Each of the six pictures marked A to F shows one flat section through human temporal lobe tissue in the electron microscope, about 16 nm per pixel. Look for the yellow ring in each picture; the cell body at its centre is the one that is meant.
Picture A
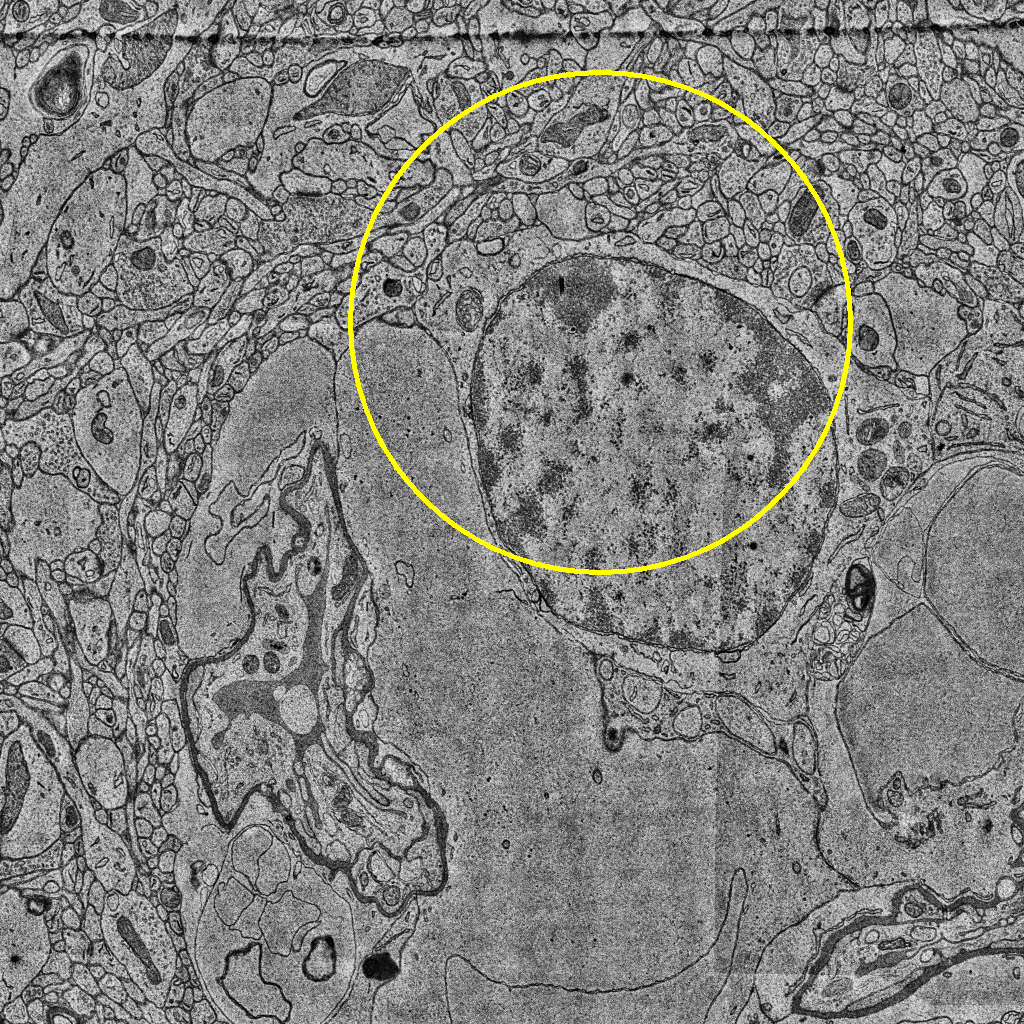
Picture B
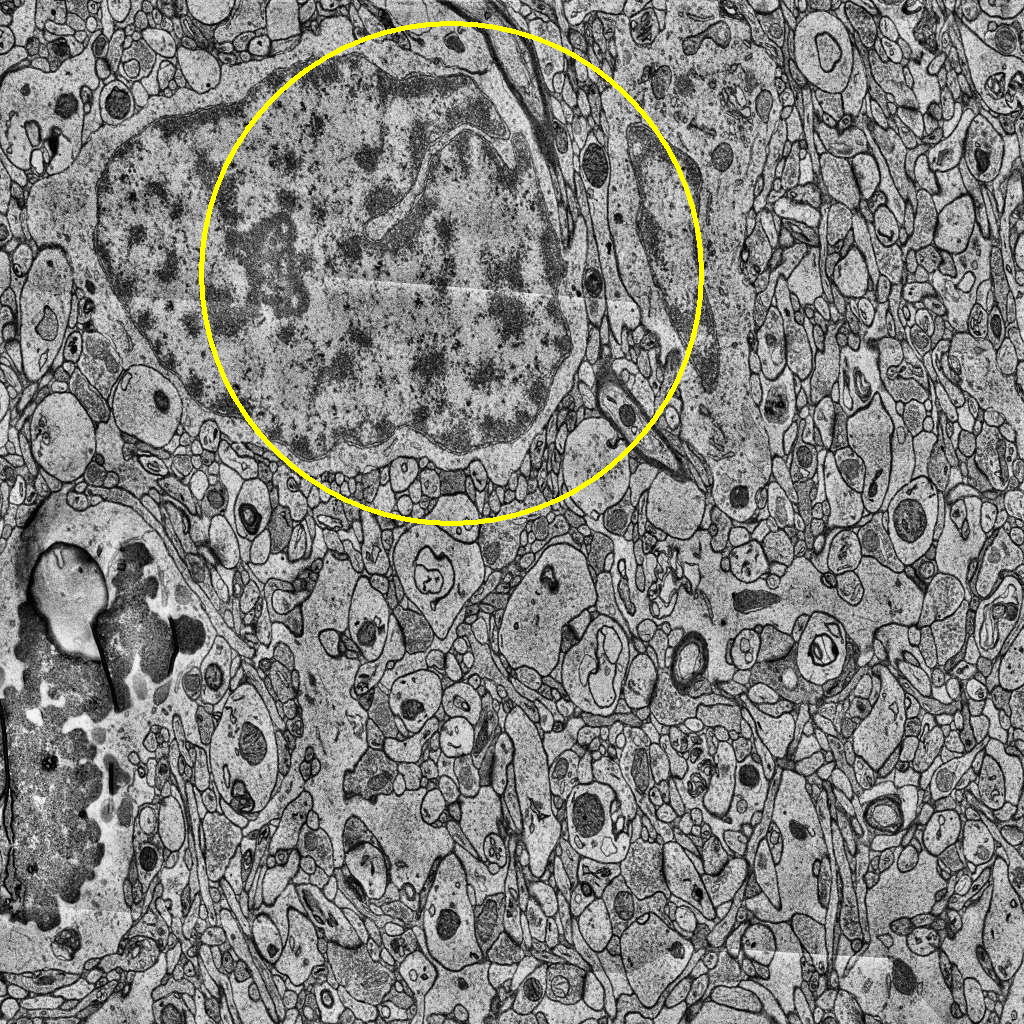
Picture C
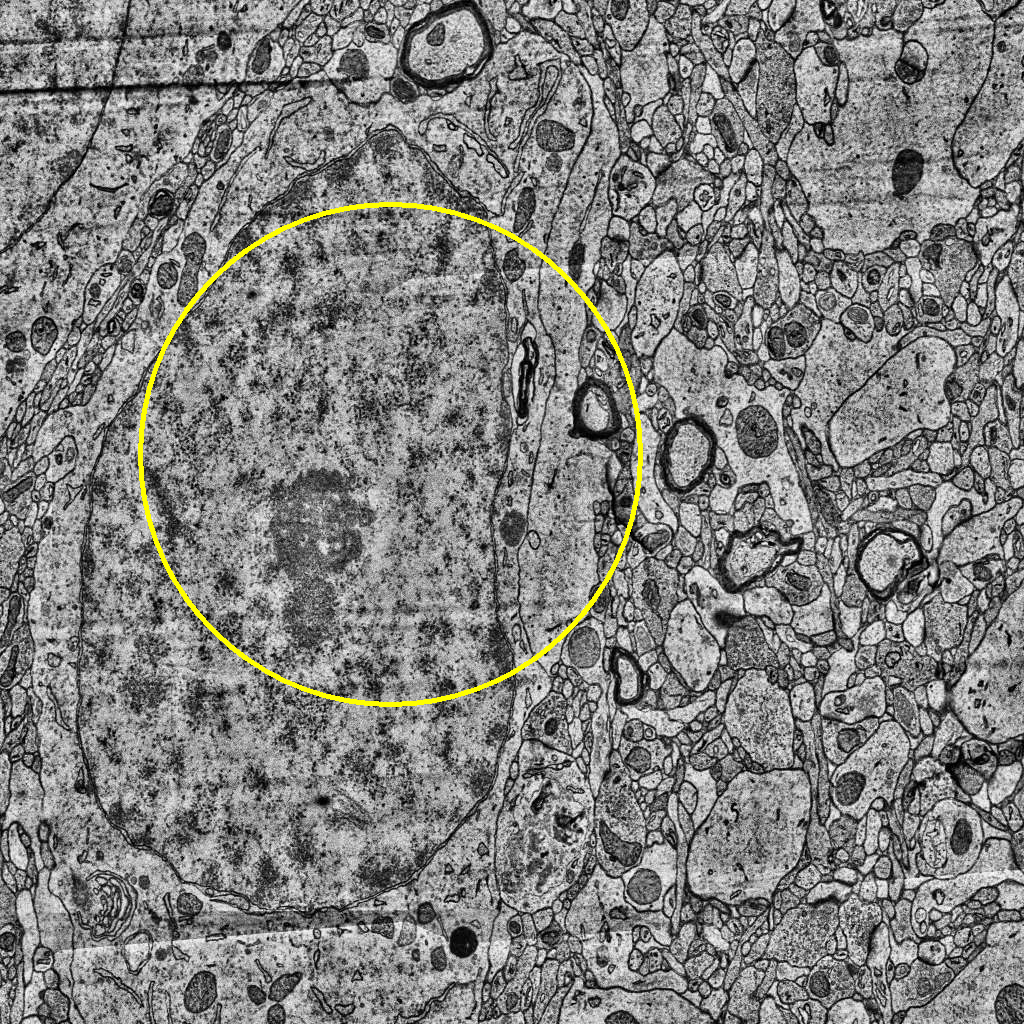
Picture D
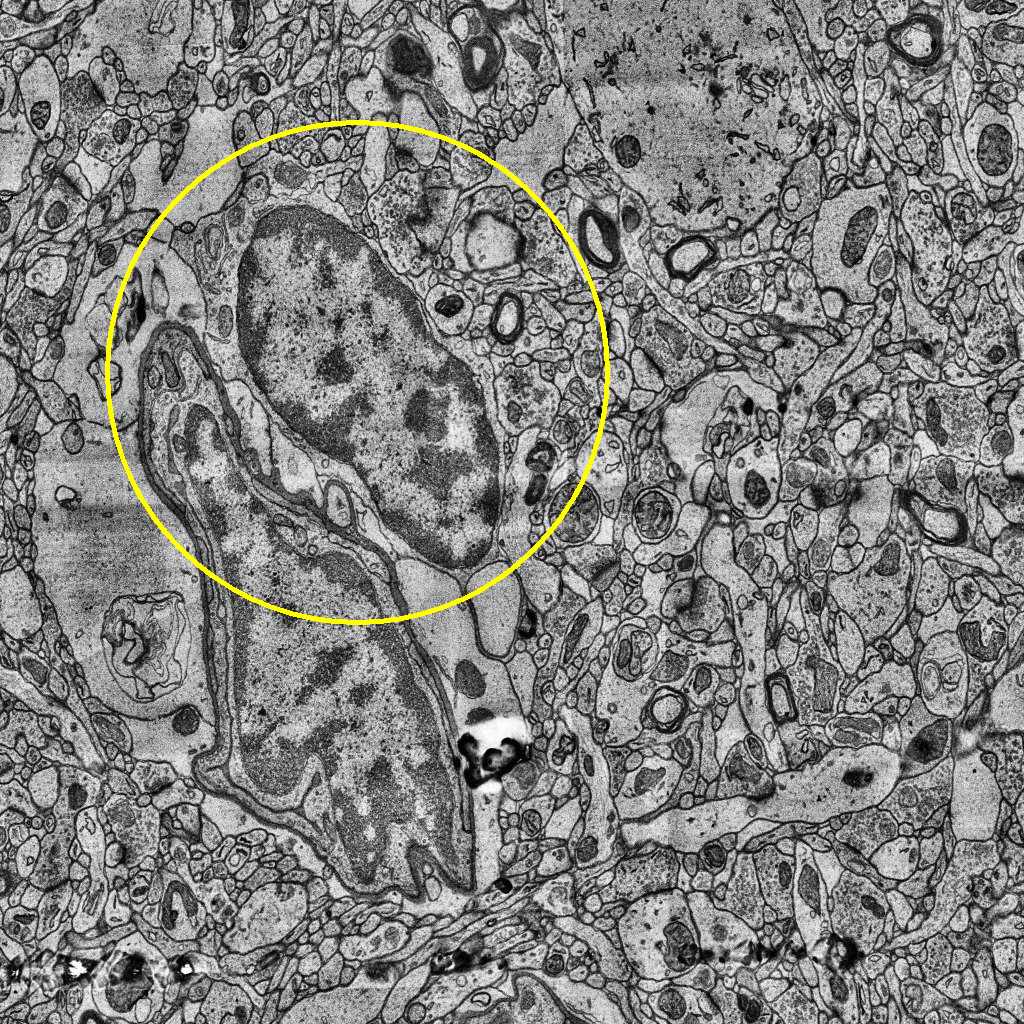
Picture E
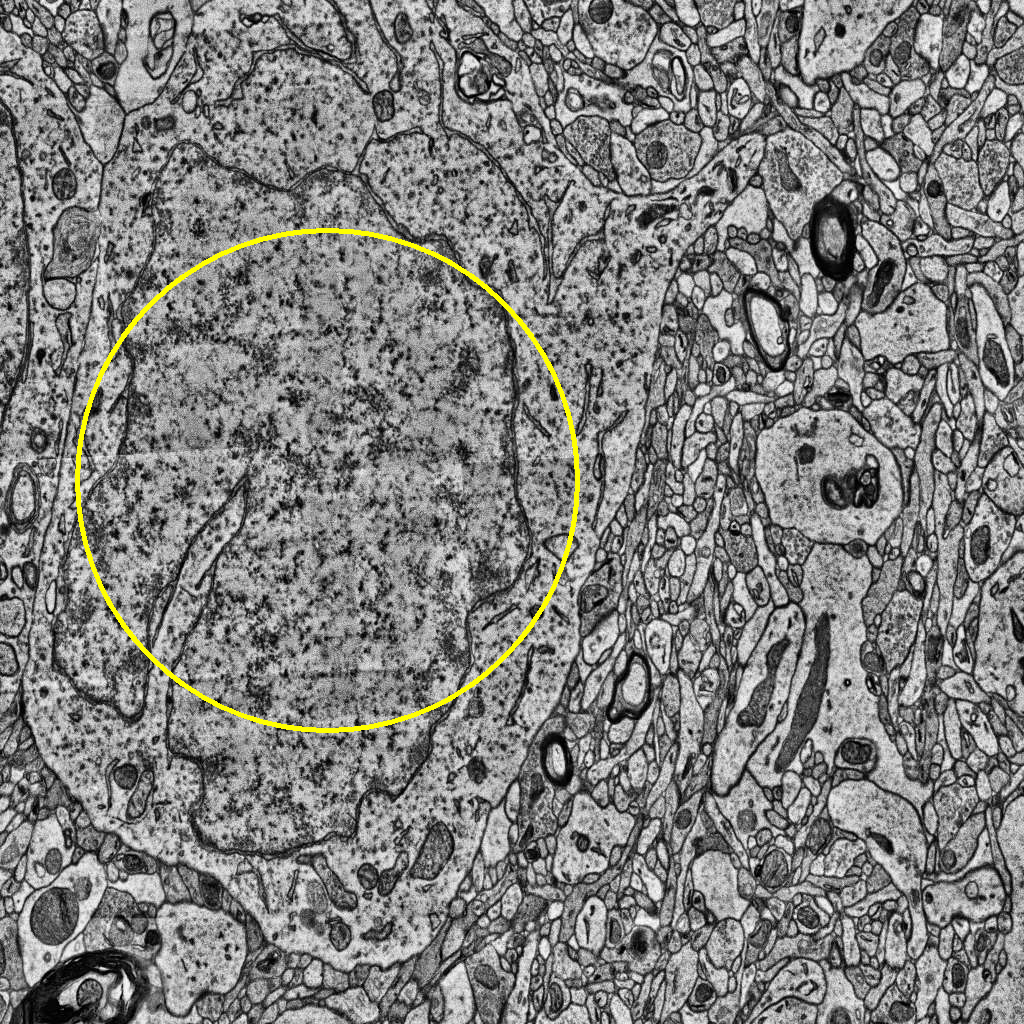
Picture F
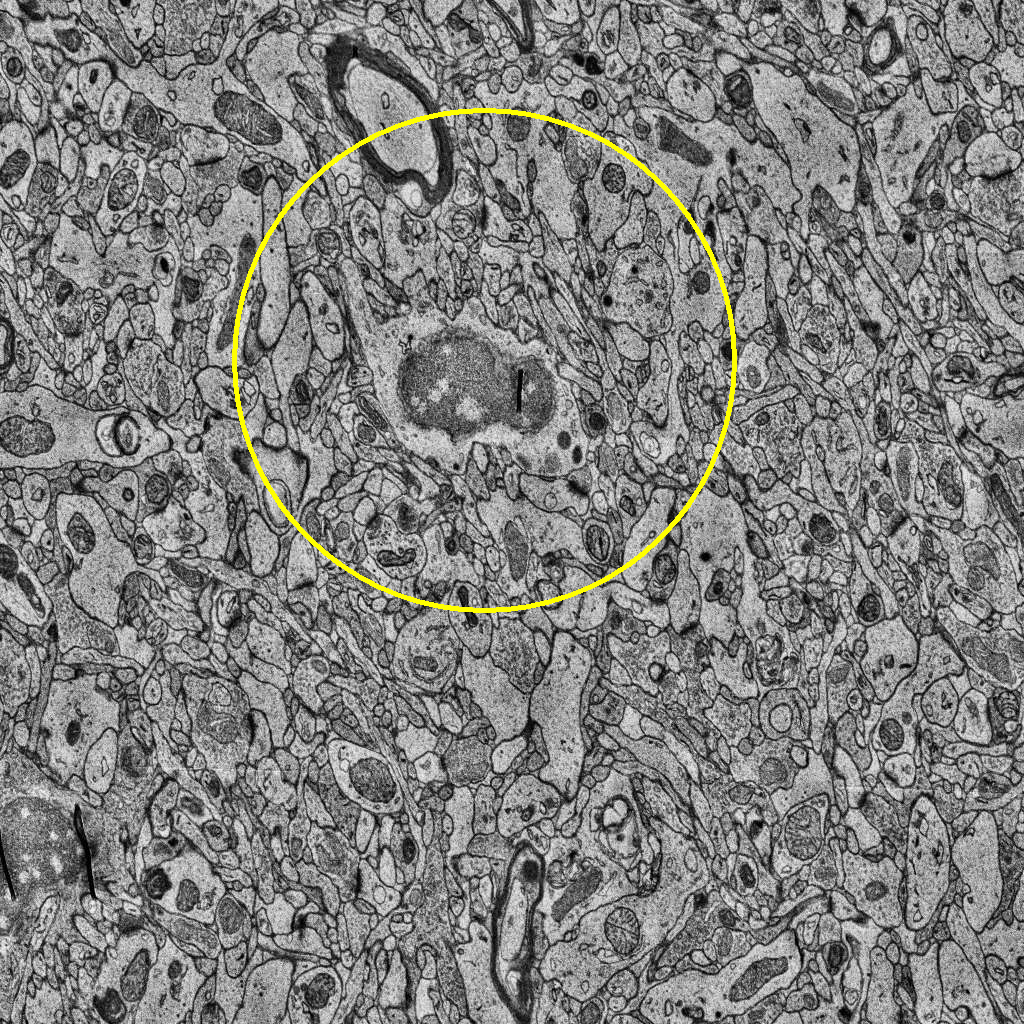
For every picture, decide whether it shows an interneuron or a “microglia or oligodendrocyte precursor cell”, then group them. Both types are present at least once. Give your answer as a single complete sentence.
Pictures C and E show interneurons, while pictures A, B, D and F show “microglia or oligodendrocyte precursor cells”.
